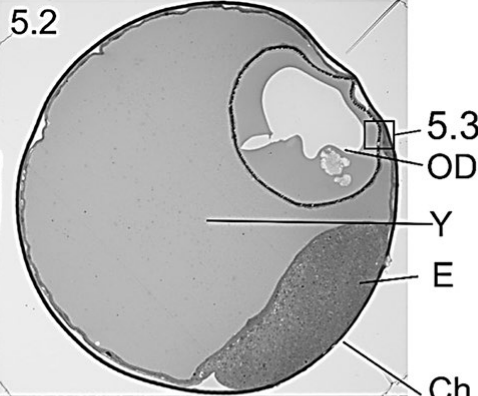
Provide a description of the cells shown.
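A section through a whole egg shows a large, evenly pale yolk mass filling most of the space inside a thin dark envelope. The embryo forms a darker, finely granular crescent pressed against the envelope at the lower right, and a rounded oil drop surrounded by a thin rim of tissue sits near the upper right.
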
